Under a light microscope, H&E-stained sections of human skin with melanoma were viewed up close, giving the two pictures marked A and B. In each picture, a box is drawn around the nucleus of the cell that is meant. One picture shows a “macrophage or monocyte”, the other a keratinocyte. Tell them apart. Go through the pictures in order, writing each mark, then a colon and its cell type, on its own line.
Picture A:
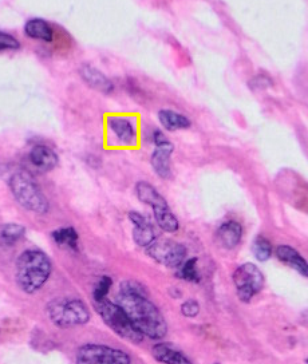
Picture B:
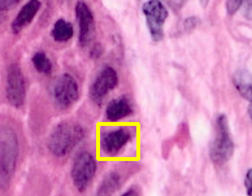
A: macrophage or monocyte
B: keratinocyte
